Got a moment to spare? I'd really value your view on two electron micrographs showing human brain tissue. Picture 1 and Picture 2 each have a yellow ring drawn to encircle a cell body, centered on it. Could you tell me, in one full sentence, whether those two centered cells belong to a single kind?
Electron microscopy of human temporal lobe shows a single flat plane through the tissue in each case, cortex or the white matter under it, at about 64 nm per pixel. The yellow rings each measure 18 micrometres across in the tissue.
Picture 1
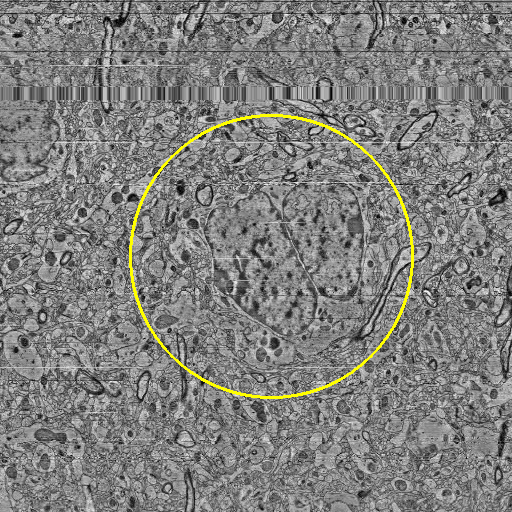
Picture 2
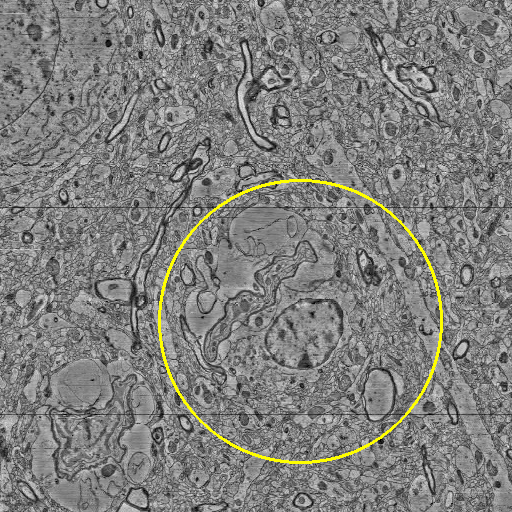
Yes, the two centered cells in Picture 1 and Picture 2 are of a single kind.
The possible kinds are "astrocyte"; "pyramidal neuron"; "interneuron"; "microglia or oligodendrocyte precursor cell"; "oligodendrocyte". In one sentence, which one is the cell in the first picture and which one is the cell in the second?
Each of the two rings surrounds a microglial cell or oligodendrocyte precursor cell.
